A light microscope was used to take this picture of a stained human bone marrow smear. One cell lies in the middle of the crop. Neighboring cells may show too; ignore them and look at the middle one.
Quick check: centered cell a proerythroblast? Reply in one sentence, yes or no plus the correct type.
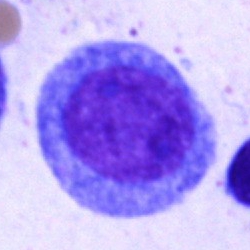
No, the cell in the middle of the crop counts as a promyelocyte and not as a proerythroblast.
